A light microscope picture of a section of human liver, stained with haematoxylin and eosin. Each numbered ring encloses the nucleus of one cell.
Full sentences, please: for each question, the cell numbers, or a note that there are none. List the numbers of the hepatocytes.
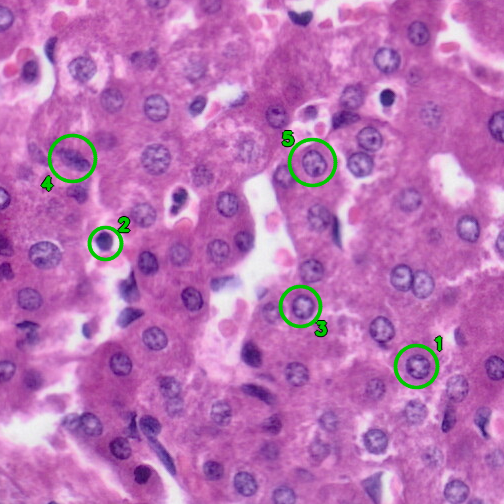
The cells numbered 1, 3 and 5 are of the kind known as hepatocytes.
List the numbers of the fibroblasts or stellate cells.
Among the numbered cells, the one that is a fibroblast or stellate cell is cell 4 alone.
